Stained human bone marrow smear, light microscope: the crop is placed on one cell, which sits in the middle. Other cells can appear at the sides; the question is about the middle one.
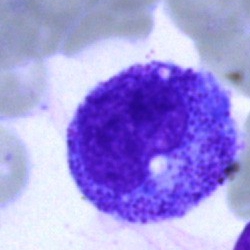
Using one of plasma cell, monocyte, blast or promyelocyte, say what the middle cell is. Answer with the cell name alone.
promyelocyte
